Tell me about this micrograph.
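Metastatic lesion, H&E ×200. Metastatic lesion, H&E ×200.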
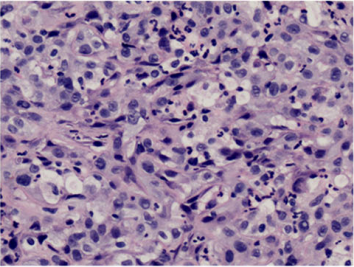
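Sheets of large, loosely cohesive cells lie in a pink stroma without forming glands or any orderly pattern. Their nuclei are strikingly unequal in size, many dark and irregular, some large and vesicular, and several cells have clear, bubbly cytoplasm. Scattered smaller dark nuclei lie between them. This is the picture of a poorly differentiated carcinoma.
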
